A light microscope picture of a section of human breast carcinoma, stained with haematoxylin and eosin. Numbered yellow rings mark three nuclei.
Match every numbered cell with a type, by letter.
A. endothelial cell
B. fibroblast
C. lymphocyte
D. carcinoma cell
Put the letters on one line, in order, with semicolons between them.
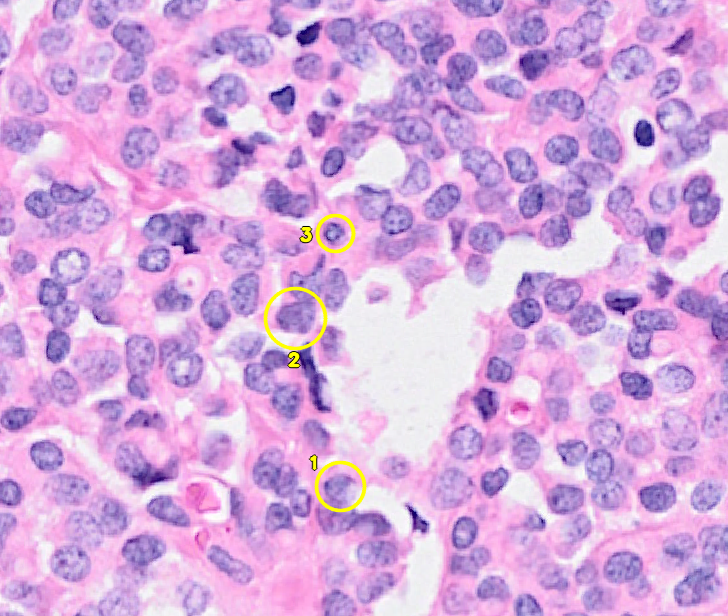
D; D; A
